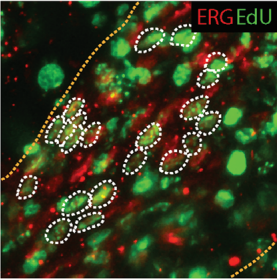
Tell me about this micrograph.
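A yellow dotted line marks the edge of a broad vascular area that fills most of the field. Inside it lie numerous densely packed oval nuclei, many of them encircled by white dotted lines and showing both red and green. The outlined nuclei are often grouped in pairs or small clusters. Further bright green round nuclei lie scattered around them.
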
